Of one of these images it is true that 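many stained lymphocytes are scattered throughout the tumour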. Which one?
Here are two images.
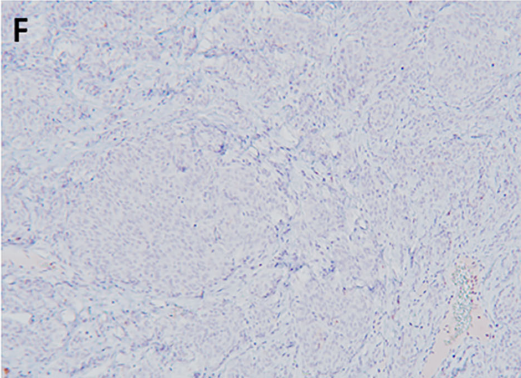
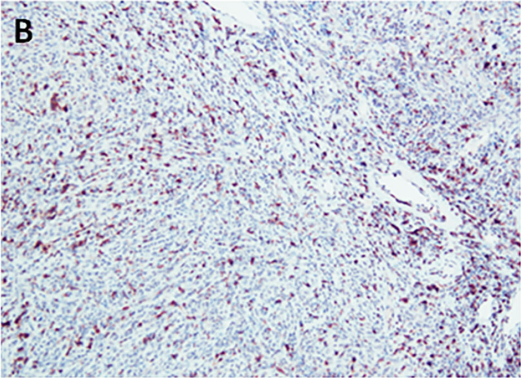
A: The second image.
